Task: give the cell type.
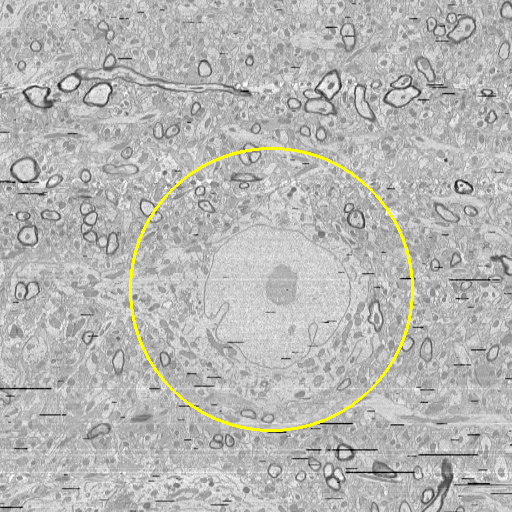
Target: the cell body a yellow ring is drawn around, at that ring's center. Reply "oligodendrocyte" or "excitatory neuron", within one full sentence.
In this picture, the cell whose body lies at the ring's center is an excitatory neuron.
